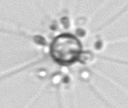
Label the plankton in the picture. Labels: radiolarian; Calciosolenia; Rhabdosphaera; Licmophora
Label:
radiolarian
